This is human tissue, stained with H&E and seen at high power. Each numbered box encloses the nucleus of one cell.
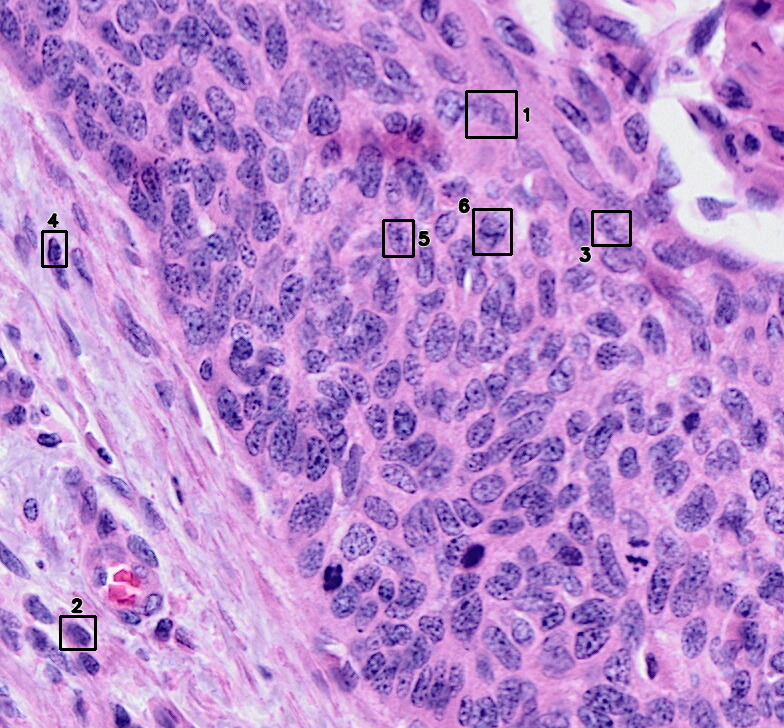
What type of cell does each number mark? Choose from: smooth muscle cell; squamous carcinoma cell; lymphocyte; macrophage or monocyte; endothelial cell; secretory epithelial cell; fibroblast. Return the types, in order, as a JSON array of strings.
["squamous carcinoma cell", "lymphocyte", "squamous carcinoma cell", "lymphocyte", "squamous carcinoma cell", "squamous carcinoma cell"]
